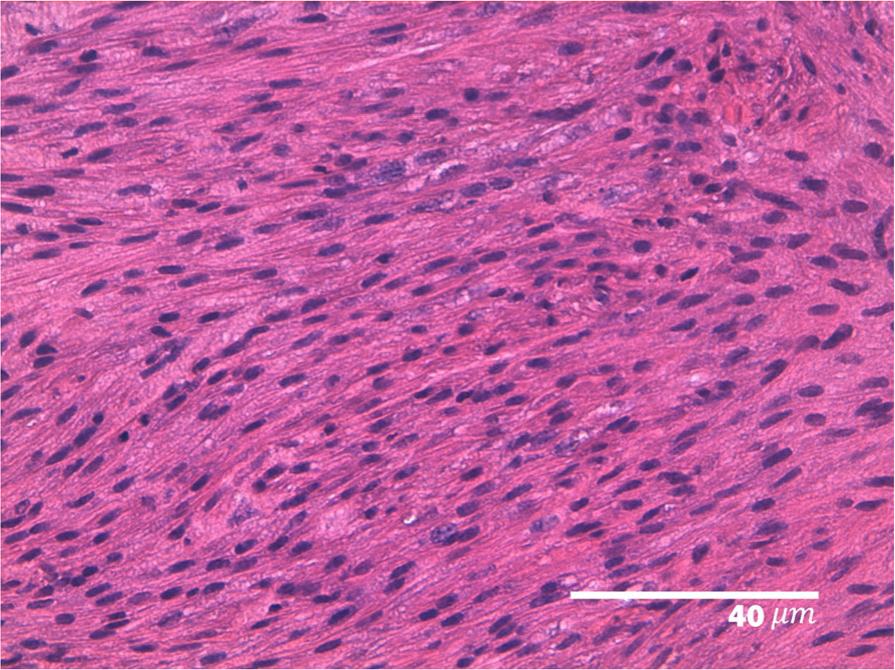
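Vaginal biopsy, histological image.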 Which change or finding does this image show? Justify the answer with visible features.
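Nuclei are elongated, blunt-ended and fairly uniform. Cytoplasm is abundant, pink and fibrillar.
Answer: leyomioma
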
